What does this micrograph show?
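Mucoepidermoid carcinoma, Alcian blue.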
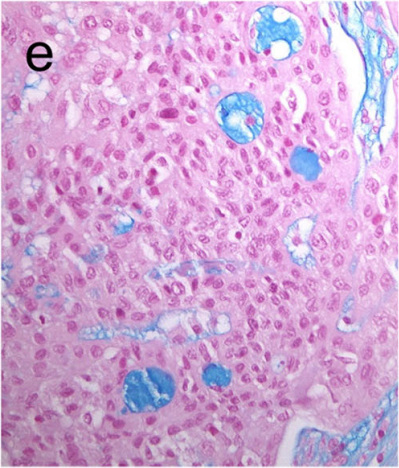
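The epithelial cells have pink cytoplasm and oval nuclei and are closely packed. The blue material fills round lumens of varying size and also streaks through the surrounding tissue at the edge.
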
